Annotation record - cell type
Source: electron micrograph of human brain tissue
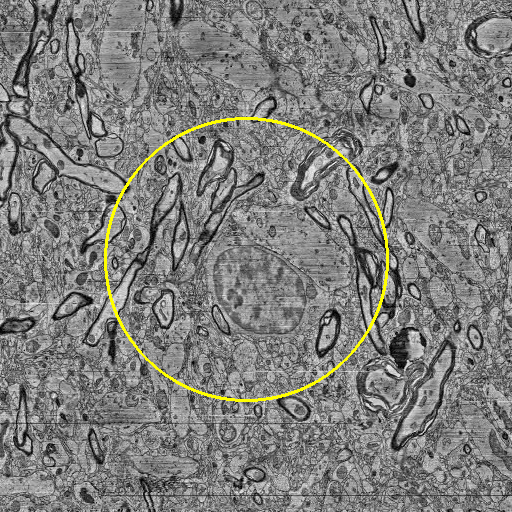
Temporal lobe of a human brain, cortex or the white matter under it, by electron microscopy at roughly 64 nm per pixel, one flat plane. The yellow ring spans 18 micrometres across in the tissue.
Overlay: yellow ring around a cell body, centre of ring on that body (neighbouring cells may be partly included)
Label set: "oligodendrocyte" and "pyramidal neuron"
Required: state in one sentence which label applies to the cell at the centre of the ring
This cell should be labelled as an oligodendrocyte.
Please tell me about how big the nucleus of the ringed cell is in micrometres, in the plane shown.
Roughly 7 by 5 micrometres in this plane, for the nucleus of the ringed cell.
